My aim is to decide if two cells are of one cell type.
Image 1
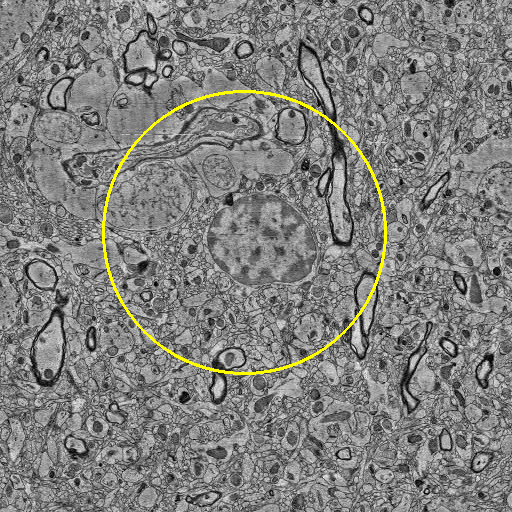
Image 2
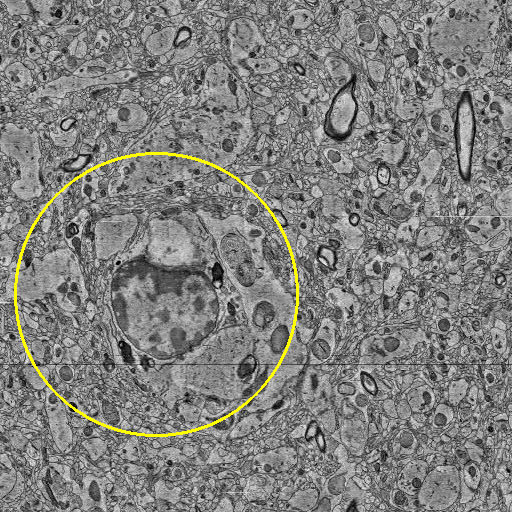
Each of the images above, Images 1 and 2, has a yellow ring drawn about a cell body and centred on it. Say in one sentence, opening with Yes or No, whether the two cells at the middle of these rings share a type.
Yes, in Images 1 and 2 the cells at the middle of the rings share one type.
